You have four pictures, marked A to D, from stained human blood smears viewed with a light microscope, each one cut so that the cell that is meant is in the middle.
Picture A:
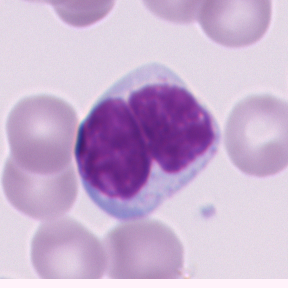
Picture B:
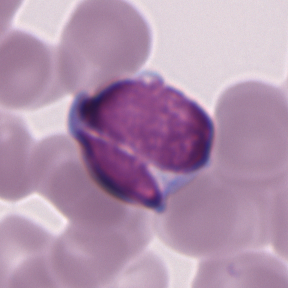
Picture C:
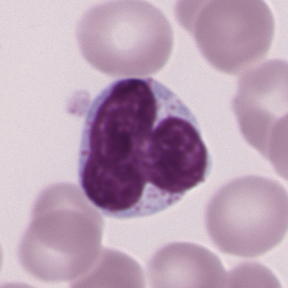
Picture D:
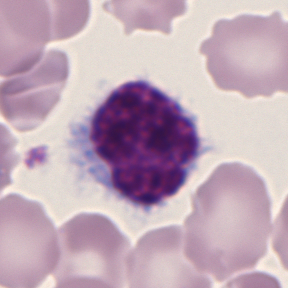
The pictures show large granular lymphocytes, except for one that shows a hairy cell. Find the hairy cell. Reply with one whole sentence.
The cell in picture D is the hairy cell.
